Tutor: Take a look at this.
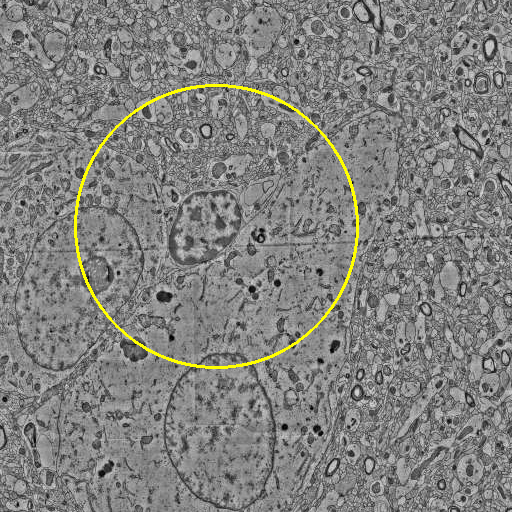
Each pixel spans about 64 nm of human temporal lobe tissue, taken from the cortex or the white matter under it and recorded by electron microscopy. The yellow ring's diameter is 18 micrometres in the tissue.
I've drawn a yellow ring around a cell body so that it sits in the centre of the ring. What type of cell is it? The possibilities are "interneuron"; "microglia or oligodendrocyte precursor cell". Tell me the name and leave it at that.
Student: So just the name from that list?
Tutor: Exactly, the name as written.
microglia or oligodendrocyte precursor cell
